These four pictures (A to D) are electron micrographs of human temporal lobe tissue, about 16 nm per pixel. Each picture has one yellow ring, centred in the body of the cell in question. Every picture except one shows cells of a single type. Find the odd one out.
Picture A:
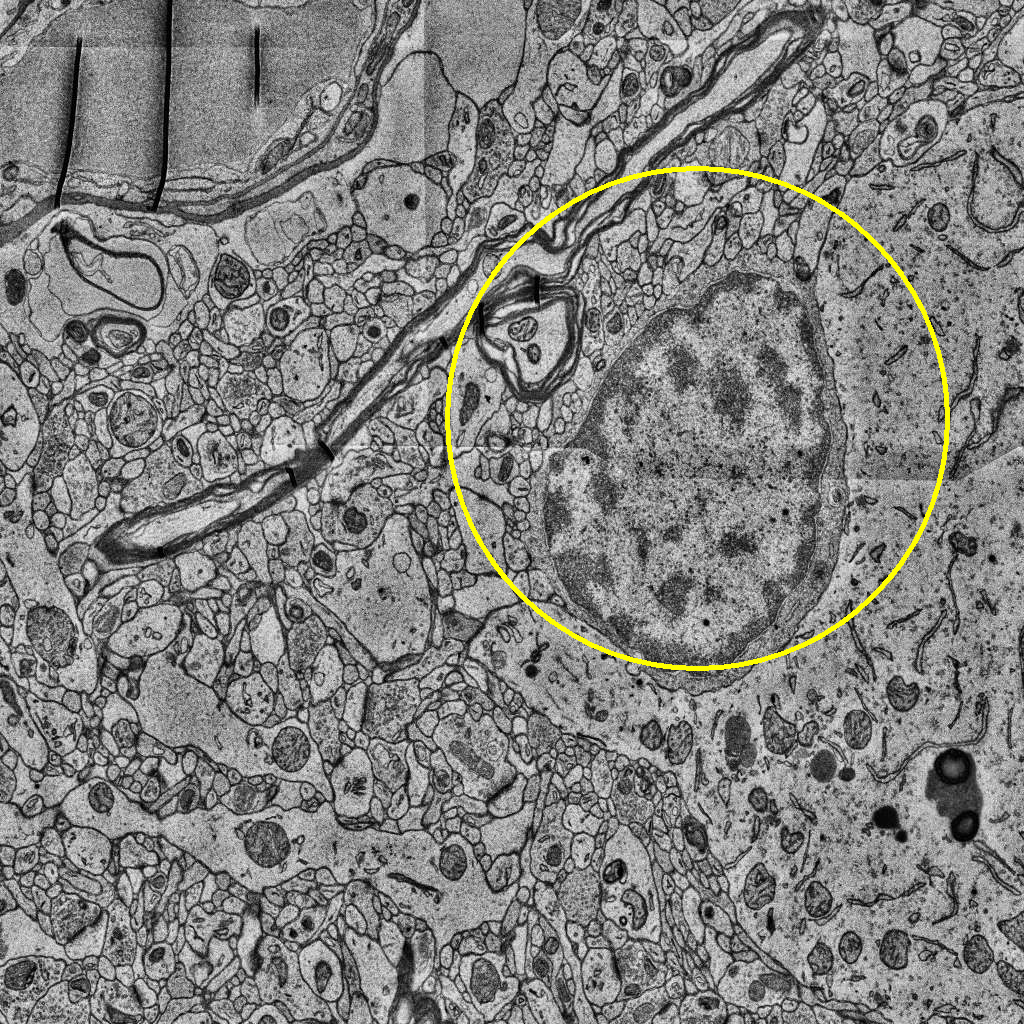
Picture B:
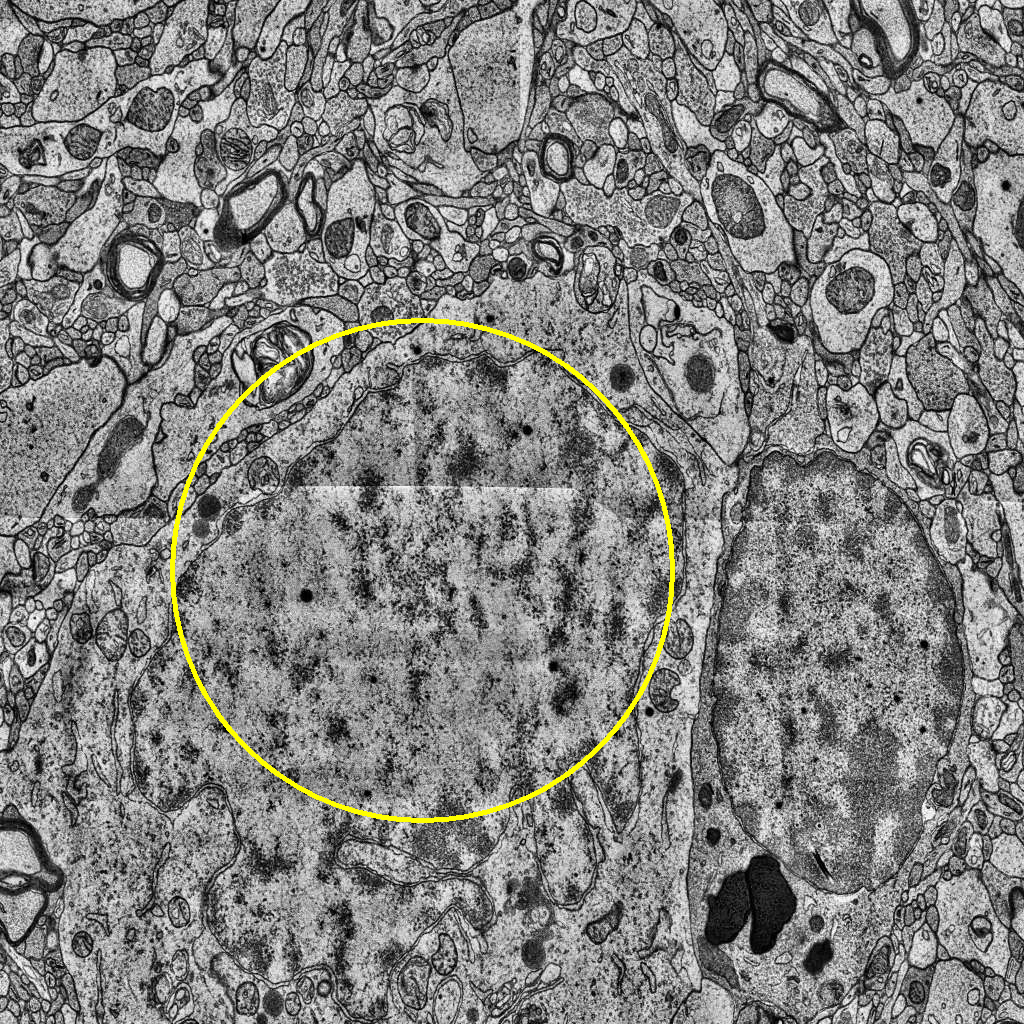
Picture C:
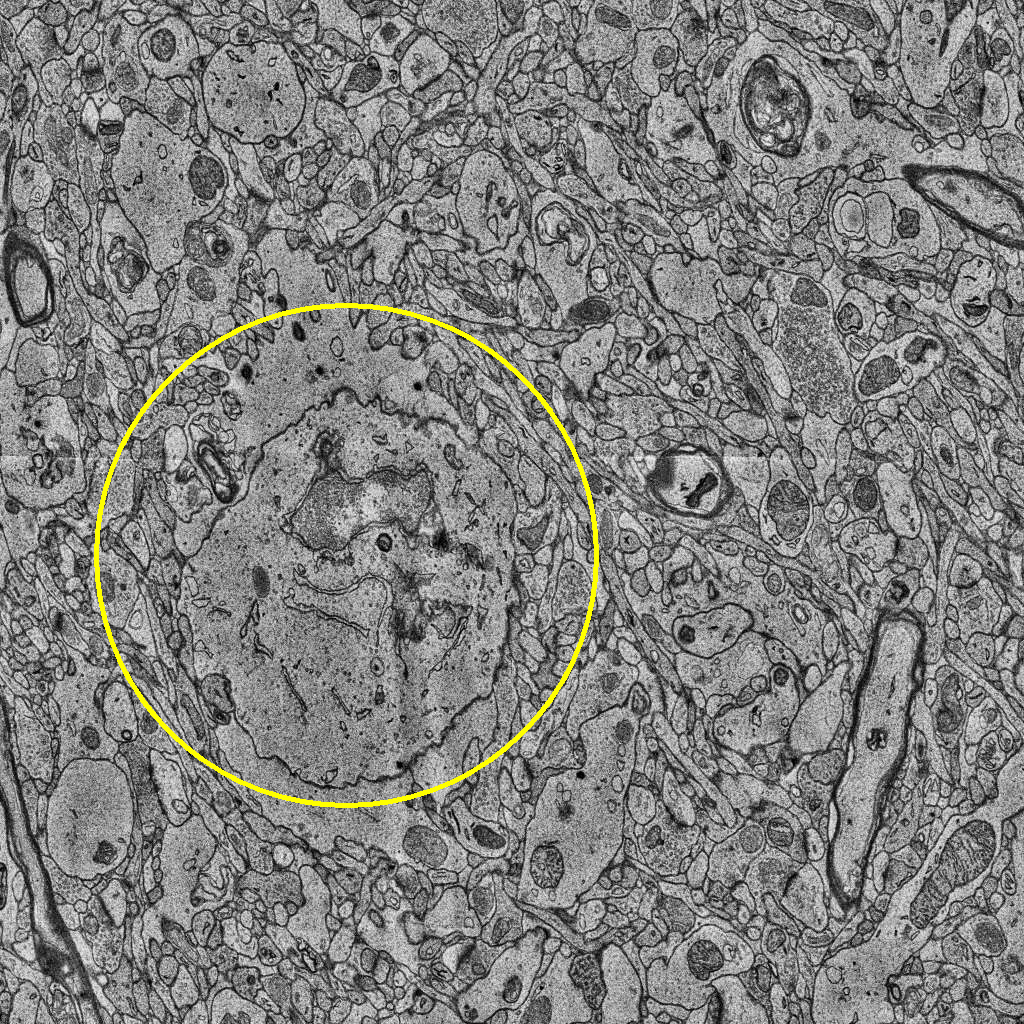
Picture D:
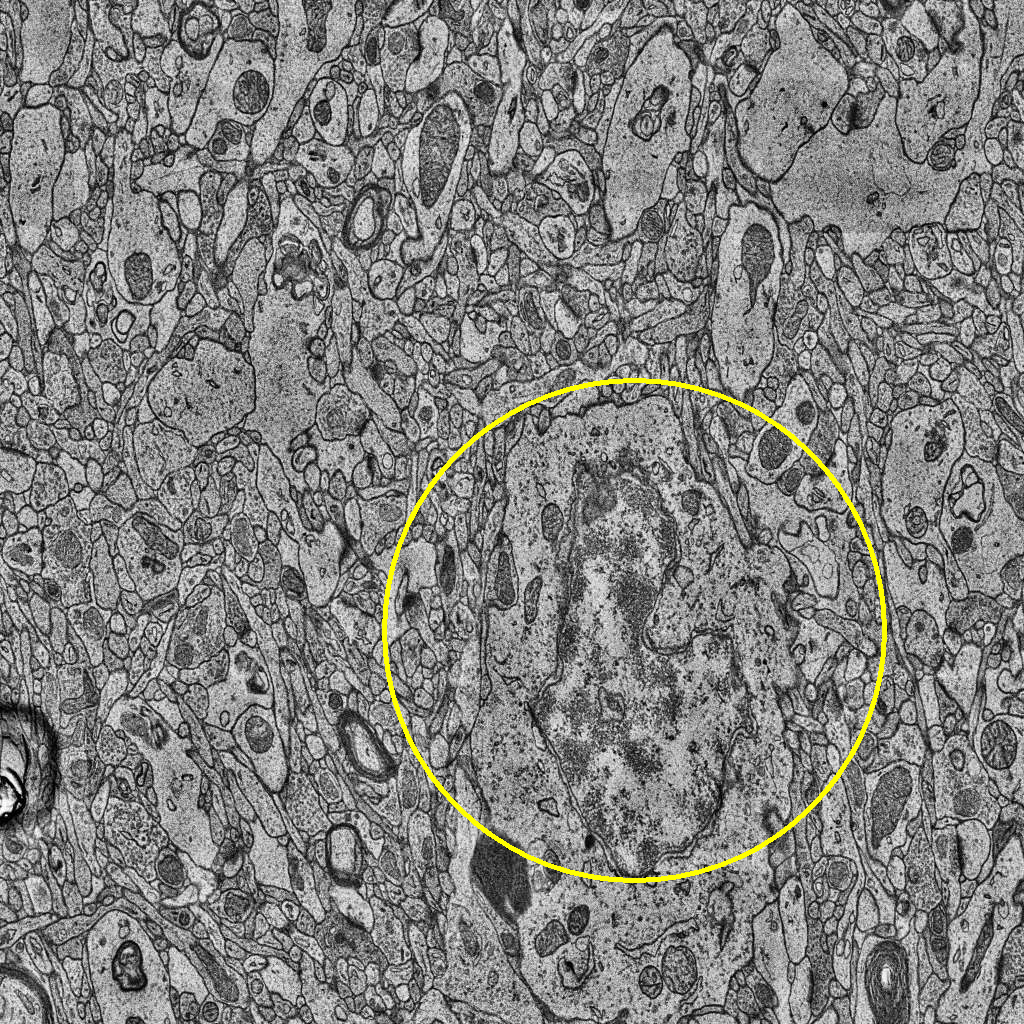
The different one is picture A; it shows an oligodendrocyte, whereas all the others show interneurons.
